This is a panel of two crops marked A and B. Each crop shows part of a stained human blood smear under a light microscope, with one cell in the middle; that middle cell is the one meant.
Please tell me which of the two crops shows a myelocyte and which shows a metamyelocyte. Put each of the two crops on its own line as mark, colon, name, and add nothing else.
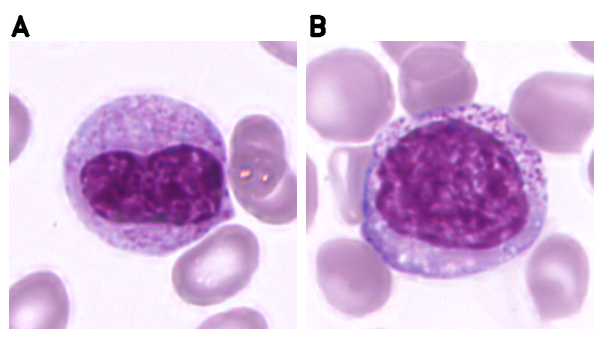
A: metamyelocyte
B: myelocyte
